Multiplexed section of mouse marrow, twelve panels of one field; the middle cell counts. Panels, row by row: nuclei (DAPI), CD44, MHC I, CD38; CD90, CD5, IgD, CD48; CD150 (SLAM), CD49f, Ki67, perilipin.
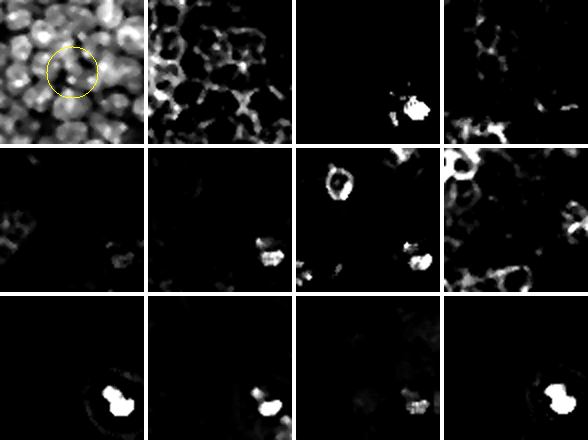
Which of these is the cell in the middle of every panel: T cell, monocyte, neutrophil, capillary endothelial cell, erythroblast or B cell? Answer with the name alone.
neutrophil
